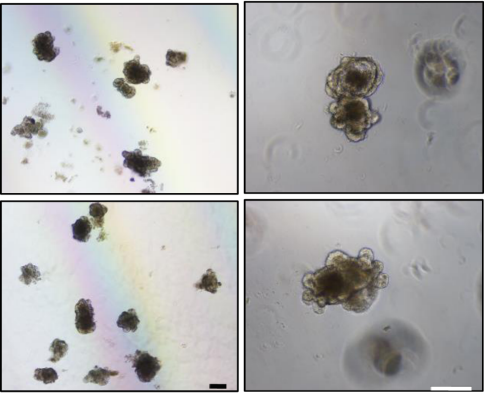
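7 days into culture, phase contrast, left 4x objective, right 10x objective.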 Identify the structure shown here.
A: Organoids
